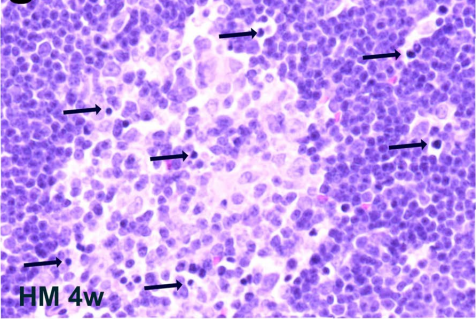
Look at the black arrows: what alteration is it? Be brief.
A: Pyknotic/apoptotic lymphocytes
